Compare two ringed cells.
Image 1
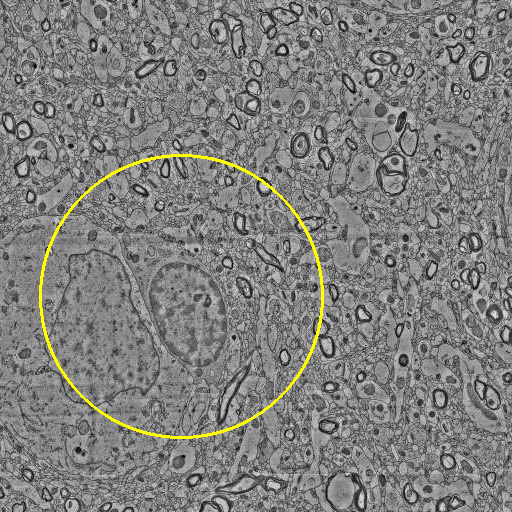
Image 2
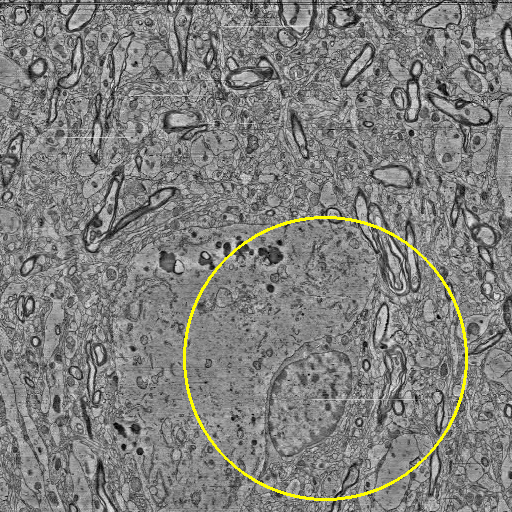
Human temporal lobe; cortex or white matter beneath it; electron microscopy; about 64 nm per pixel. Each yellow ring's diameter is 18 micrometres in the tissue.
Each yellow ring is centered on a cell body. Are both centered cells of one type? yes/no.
yes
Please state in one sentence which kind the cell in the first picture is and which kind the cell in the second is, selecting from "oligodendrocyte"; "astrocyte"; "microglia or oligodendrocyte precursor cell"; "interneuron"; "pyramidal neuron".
Each of the two rings surrounds an oligodendrocyte.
